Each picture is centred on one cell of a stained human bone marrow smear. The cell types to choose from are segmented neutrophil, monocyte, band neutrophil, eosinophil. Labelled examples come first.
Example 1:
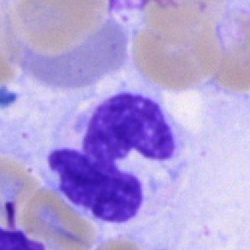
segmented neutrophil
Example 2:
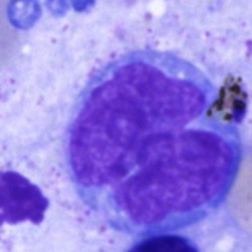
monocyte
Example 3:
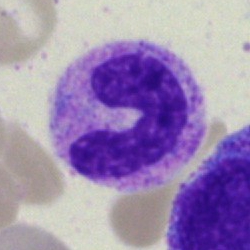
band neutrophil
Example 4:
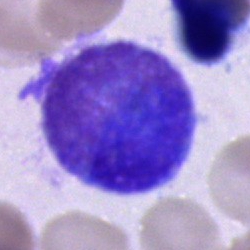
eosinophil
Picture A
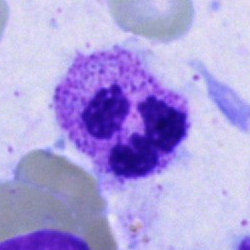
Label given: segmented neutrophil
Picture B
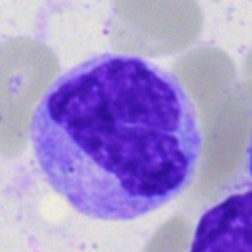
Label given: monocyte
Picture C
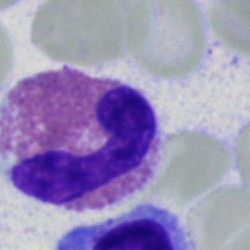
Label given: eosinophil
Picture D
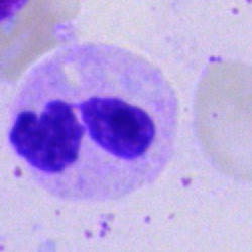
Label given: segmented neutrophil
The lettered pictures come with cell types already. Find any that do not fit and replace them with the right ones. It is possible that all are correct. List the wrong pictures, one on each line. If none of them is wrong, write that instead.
Nothing to fix; every label fits.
